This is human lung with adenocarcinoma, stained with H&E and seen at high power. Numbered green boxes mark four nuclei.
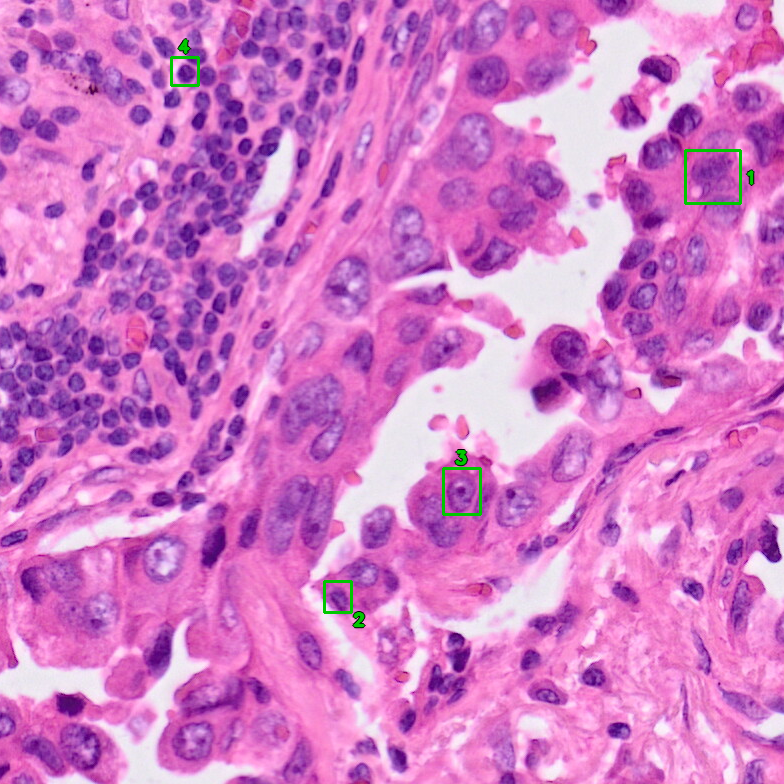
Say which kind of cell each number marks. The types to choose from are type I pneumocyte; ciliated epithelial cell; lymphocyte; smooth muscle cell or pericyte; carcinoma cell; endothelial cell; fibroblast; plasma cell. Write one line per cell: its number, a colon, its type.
1: carcinoma cell
2: carcinoma cell
3: carcinoma cell
4: lymphocyte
